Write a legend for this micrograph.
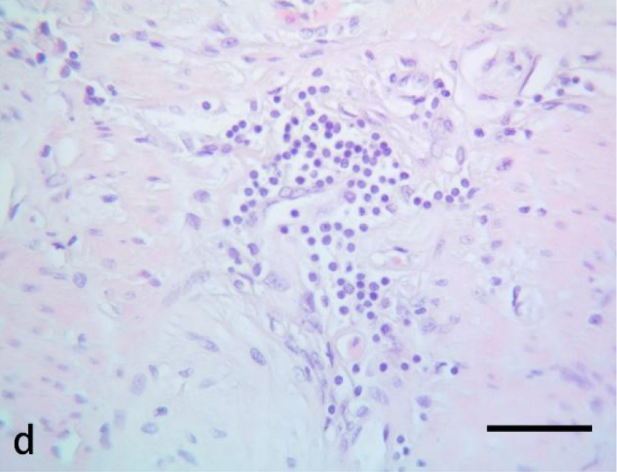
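Inflammatory cells form a band-like infiltrate running through the middle of the field. These are small round cells with dense, dark purple nuclei and scant cytoplasm, packed close together. They lie within pale pink fibrous stroma that holds scattered spindle-shaped cells with elongated nuclei.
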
